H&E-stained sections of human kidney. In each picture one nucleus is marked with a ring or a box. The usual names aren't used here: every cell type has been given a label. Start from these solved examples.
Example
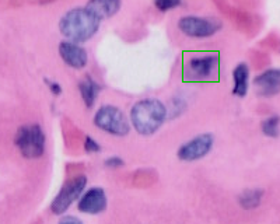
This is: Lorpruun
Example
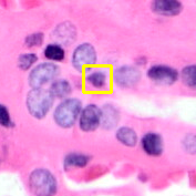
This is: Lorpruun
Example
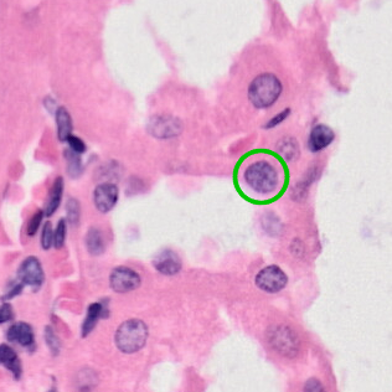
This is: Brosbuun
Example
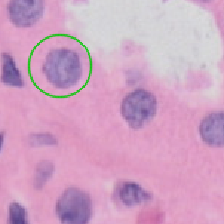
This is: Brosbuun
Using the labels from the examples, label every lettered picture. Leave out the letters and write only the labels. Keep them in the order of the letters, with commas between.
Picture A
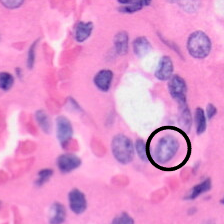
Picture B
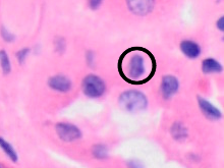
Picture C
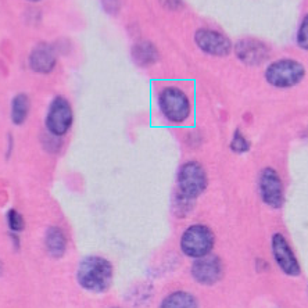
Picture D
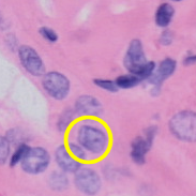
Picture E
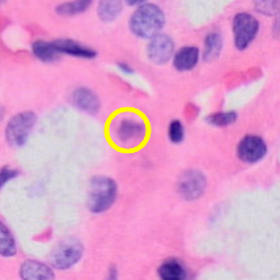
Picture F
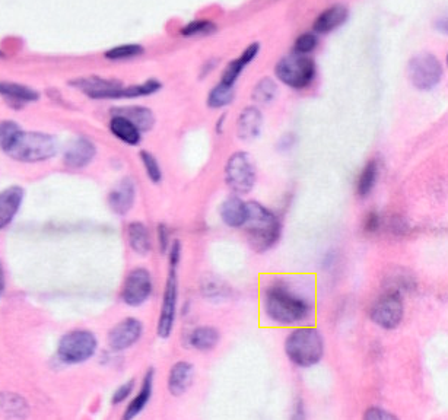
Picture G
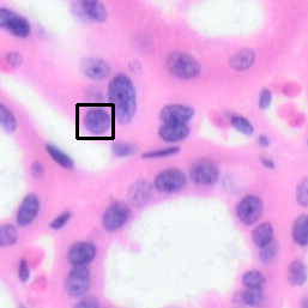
Lorpruun, Brosbuun, Brosbuun, Lorpruun, Brosbuun, Lorpruun, Lorpruun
